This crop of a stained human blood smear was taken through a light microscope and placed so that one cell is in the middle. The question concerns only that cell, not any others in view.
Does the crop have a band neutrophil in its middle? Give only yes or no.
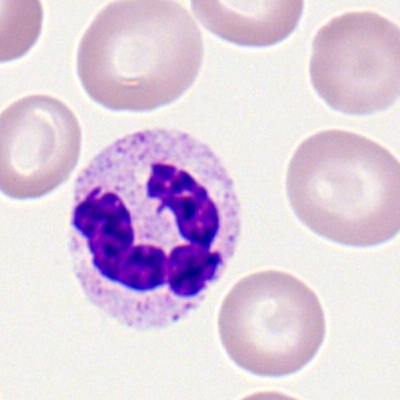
no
